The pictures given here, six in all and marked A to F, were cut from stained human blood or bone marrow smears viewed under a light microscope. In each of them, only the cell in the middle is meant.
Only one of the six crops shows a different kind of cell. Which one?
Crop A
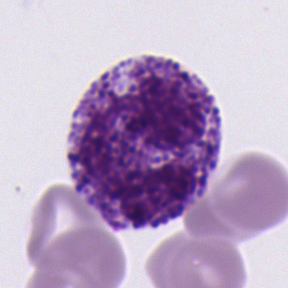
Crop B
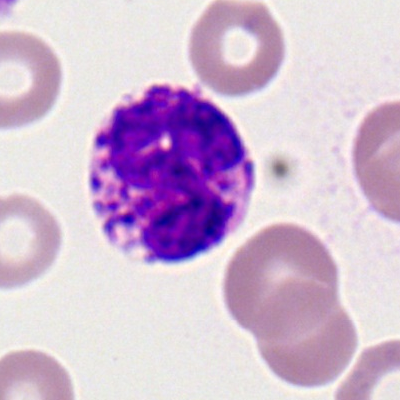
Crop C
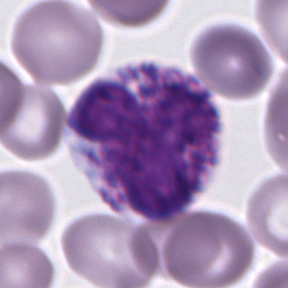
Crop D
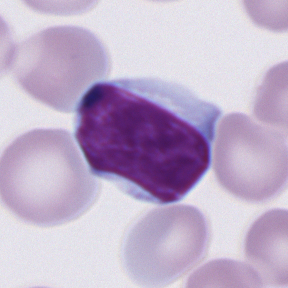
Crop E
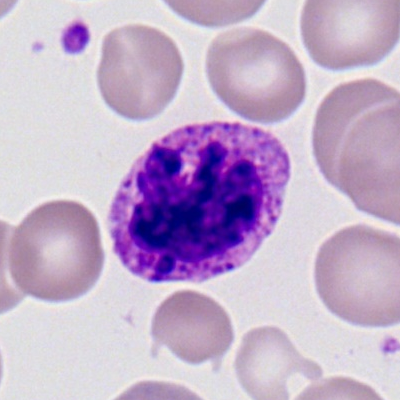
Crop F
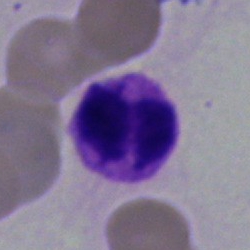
D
